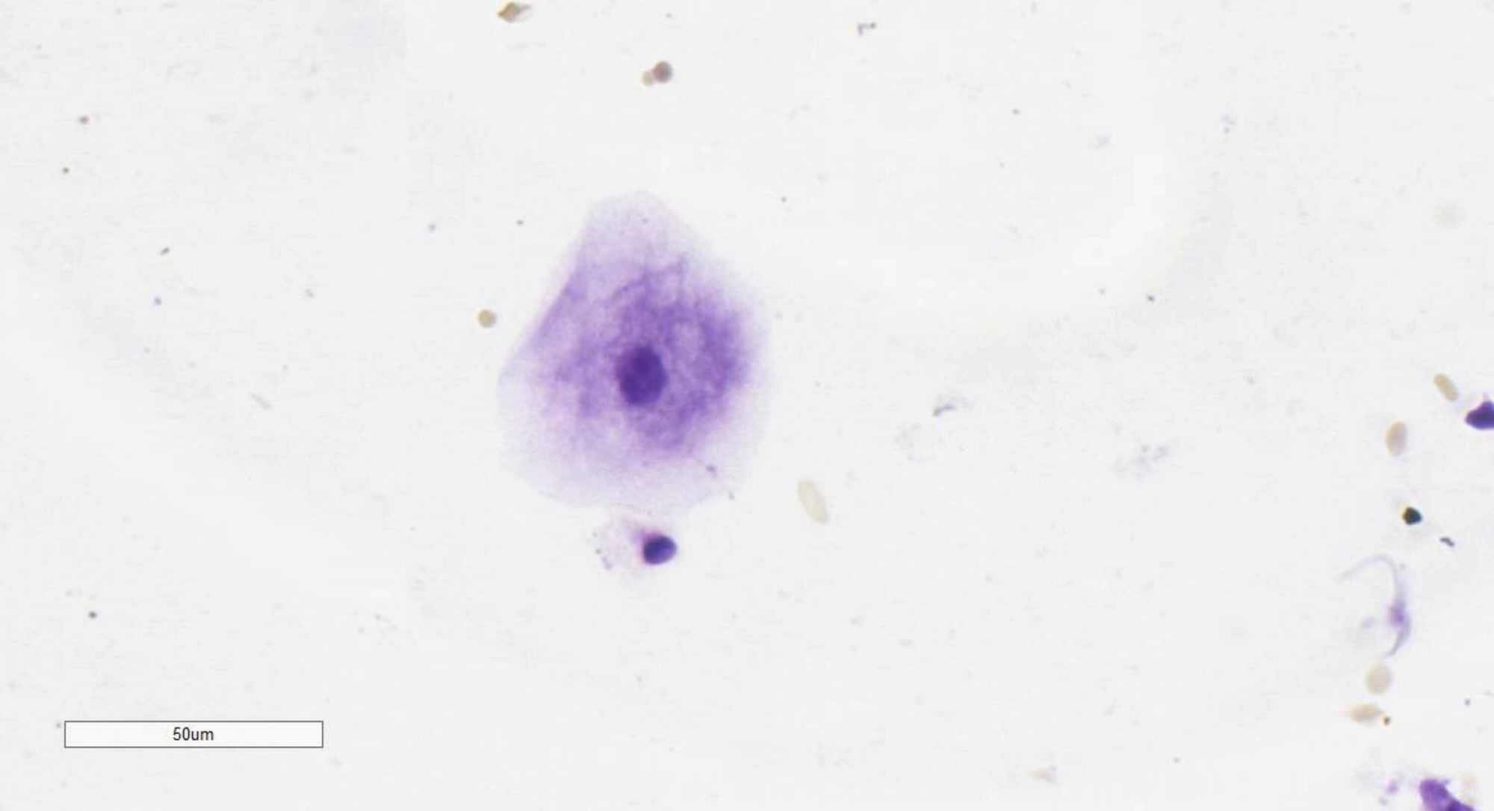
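This is a large squamous epithelial cell of the superficial kind, lying alone on the smear. It is flat and broadly polygonal, with straight, slightly angular edges. Around the nucleus the cytoplasm is crowded with fine violet granules, forming a darker, mottled zone. This zone is not even: it spreads further to one side, while the edge of the cell toward the lower left stays pale and almost clear. A small dark cell lies just below it, and scattered debris and pale particles dot the background.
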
